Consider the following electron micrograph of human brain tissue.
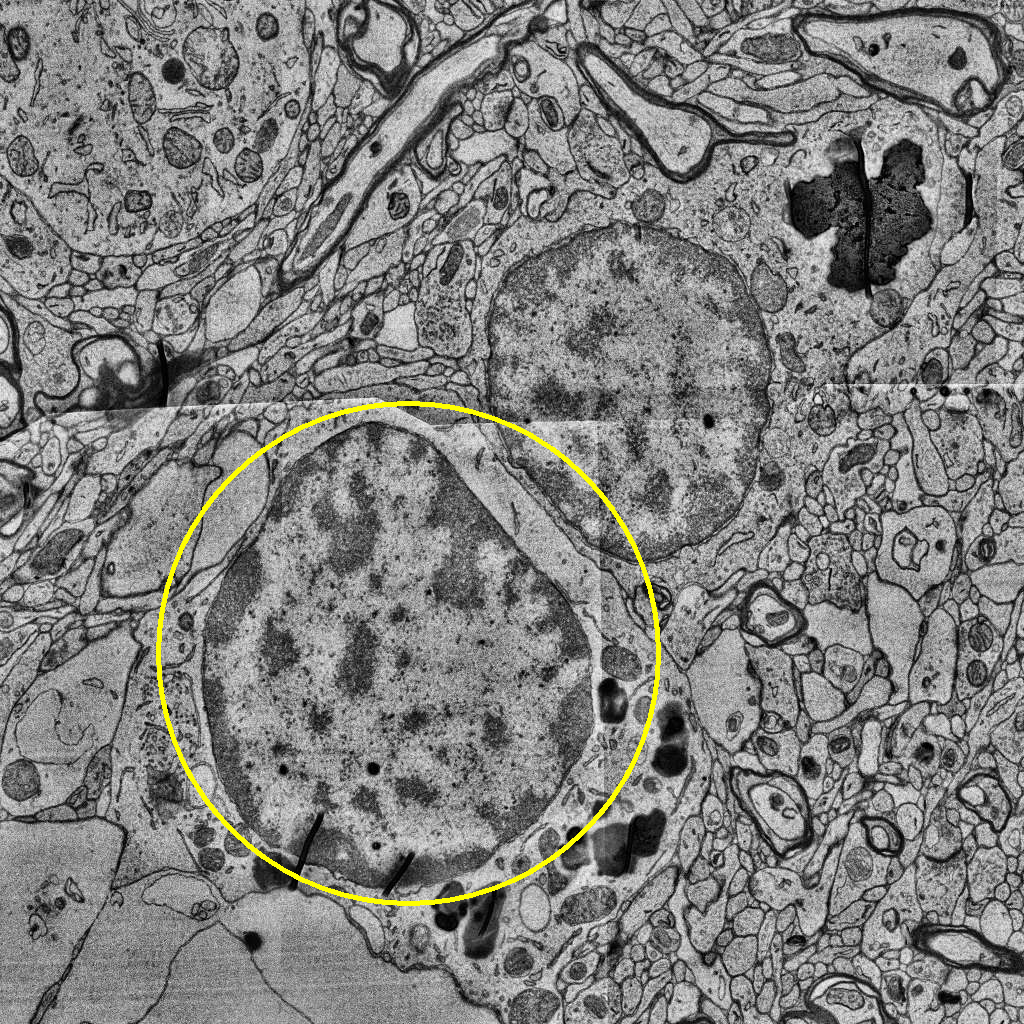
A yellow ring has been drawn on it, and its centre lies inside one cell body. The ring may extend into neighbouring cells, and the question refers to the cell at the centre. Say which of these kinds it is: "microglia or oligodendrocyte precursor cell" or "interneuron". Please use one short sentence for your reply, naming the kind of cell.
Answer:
The centre of the ring falls on a microglial cell or oligodendrocyte precursor cell.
